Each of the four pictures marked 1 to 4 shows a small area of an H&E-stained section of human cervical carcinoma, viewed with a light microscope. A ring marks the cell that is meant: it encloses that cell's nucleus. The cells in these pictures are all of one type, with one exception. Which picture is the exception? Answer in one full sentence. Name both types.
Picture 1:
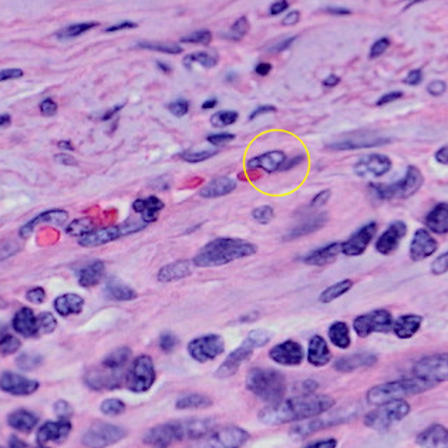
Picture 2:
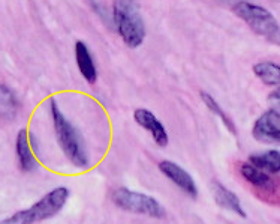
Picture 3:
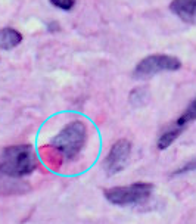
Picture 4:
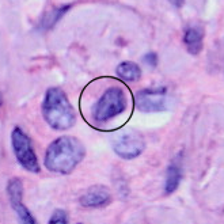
The different one is picture 2; it shows a fibroblast, whereas all the others show endothelial cells.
